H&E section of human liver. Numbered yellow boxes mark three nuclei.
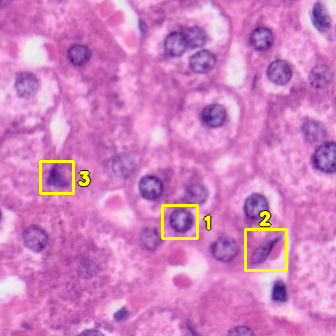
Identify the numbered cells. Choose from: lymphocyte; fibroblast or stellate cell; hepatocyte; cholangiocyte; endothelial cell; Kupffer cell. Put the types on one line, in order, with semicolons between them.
hepatocyte; Kupffer cell; fibroblast or stellate cell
